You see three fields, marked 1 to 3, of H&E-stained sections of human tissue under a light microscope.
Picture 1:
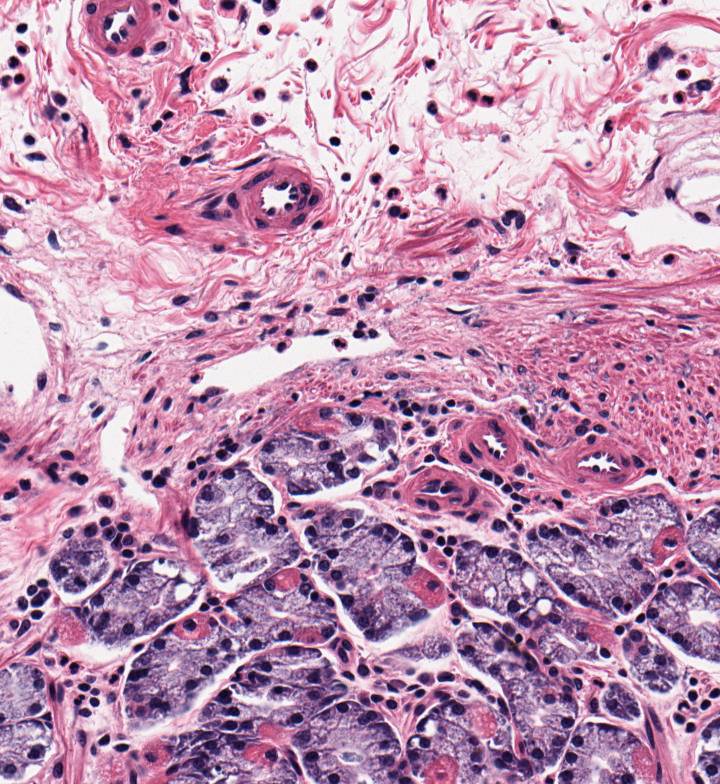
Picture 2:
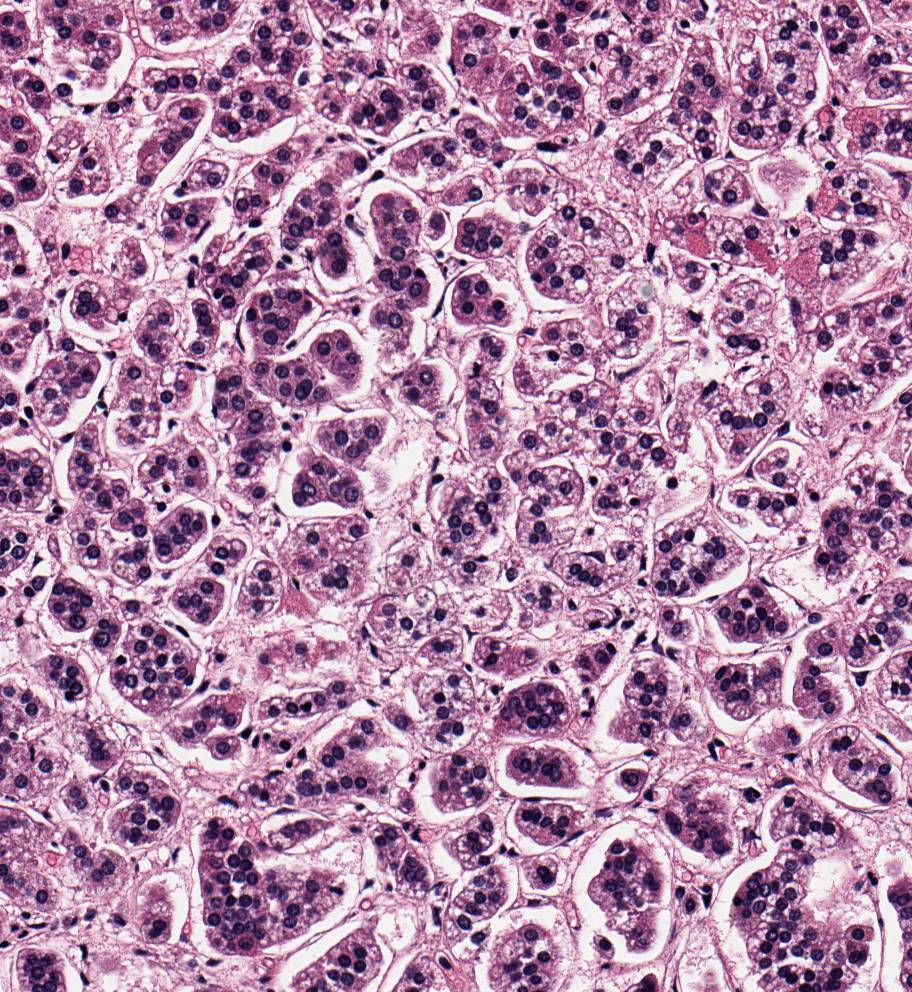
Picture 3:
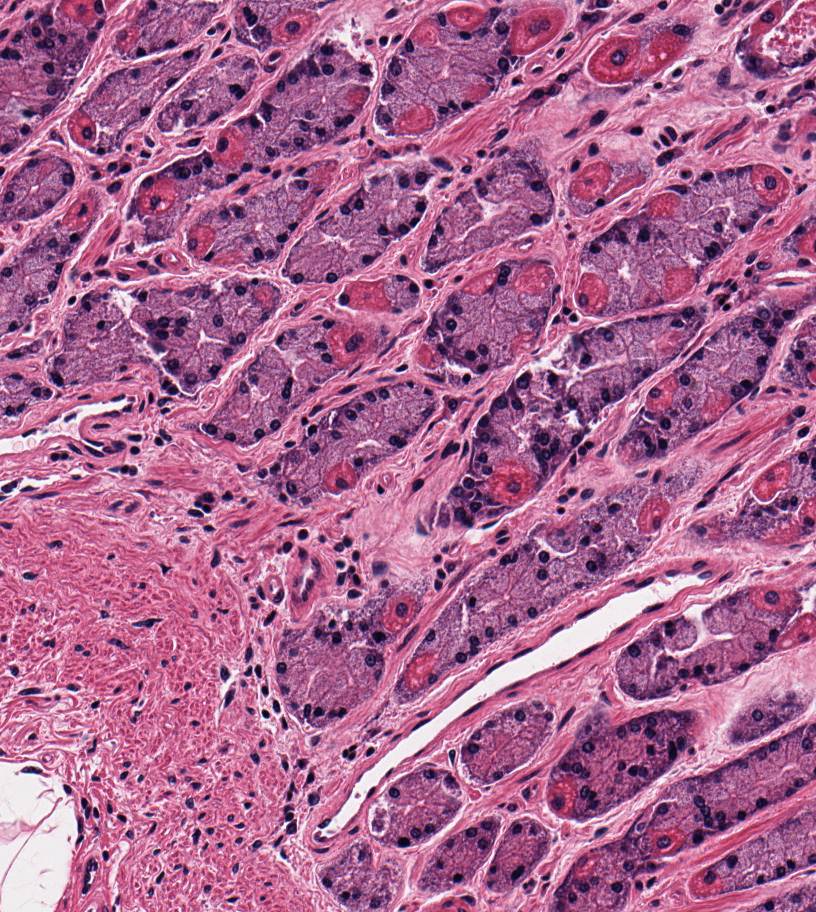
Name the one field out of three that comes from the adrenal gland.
2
